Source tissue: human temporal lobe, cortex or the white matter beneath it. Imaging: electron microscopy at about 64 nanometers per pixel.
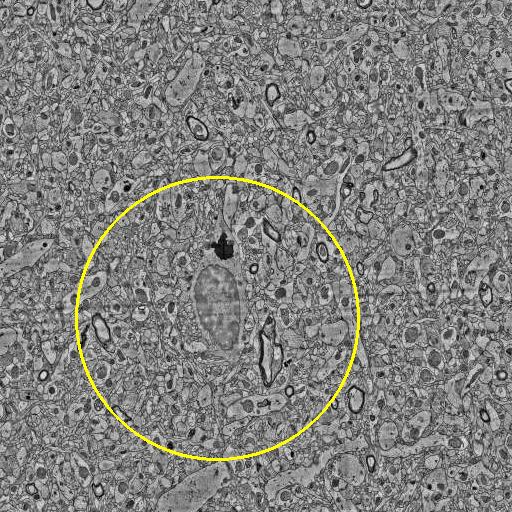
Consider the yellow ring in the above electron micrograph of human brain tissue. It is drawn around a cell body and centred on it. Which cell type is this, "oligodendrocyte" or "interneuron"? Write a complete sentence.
The cell in question is an oligodendrocyte.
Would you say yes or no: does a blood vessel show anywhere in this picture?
No, the picture includes no blood vessel.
